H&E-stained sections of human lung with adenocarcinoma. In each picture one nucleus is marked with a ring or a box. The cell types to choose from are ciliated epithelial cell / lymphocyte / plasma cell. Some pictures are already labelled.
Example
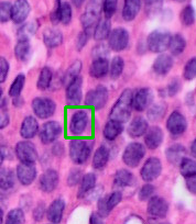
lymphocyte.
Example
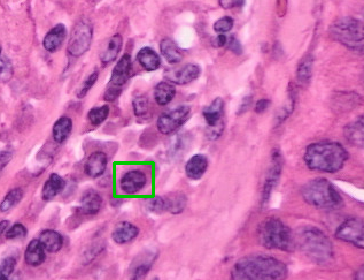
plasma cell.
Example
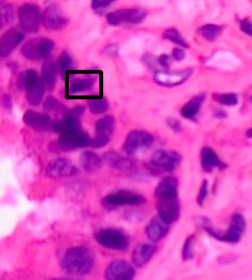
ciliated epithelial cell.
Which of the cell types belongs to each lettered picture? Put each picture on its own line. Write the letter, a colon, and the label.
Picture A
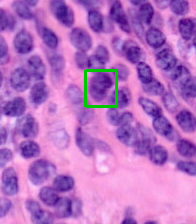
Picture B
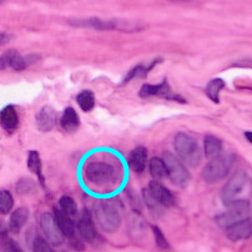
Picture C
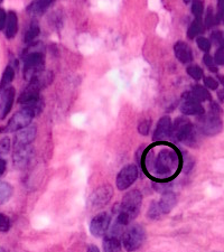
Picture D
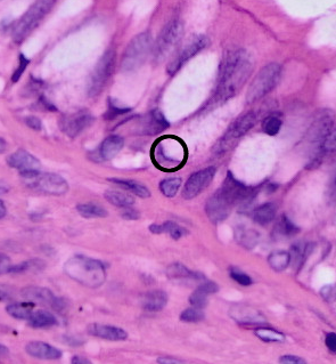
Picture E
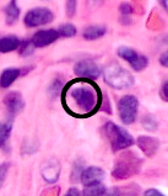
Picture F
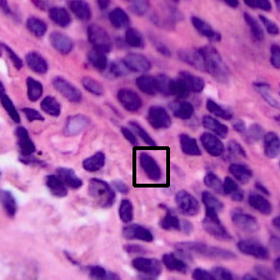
A: lymphocyte.
B: ciliated epithelial cell.
C: ciliated epithelial cell.
D: ciliated epithelial cell.
E: plasma cell.
F: lymphocyte.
